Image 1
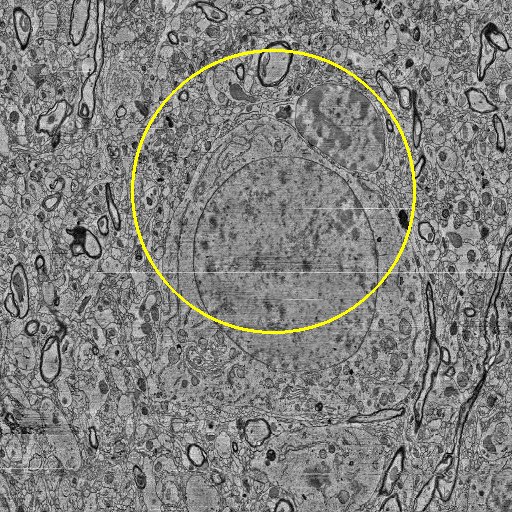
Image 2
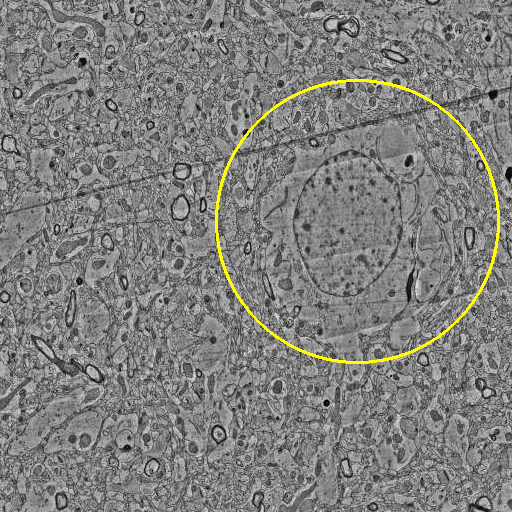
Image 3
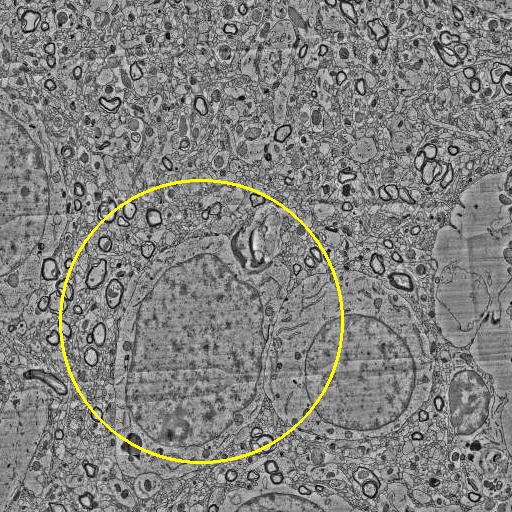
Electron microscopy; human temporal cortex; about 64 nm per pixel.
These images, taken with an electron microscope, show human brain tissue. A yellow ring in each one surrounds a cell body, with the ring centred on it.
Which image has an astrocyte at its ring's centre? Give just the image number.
2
